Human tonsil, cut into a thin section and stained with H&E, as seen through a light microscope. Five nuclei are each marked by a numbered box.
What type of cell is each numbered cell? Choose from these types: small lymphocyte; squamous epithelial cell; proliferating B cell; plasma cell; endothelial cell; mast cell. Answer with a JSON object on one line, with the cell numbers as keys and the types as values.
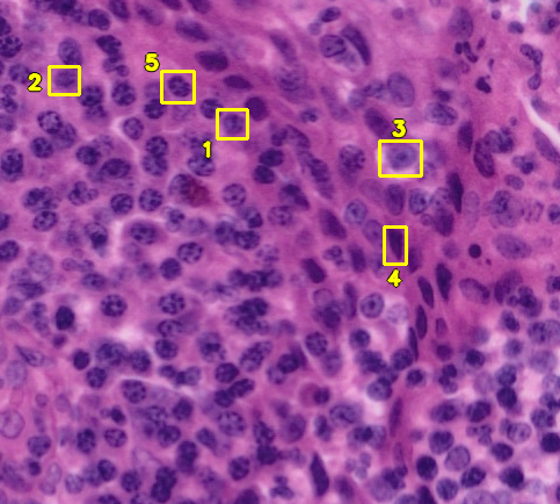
{"1": "plasma cell", "2": "plasma cell", "3": "squamous epithelial cell", "4": "squamous epithelial cell", "5": "plasma cell"}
